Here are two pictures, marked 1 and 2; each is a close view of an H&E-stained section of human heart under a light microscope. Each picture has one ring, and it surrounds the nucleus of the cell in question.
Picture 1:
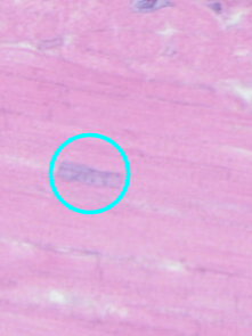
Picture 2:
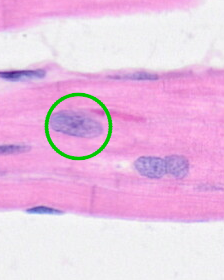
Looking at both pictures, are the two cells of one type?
yes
